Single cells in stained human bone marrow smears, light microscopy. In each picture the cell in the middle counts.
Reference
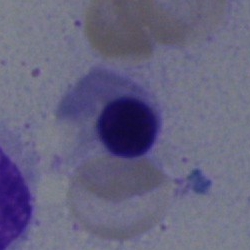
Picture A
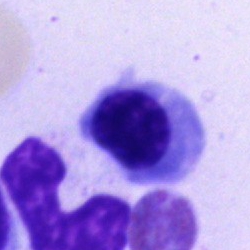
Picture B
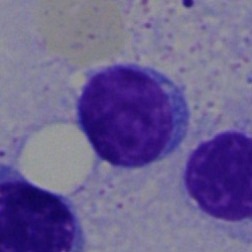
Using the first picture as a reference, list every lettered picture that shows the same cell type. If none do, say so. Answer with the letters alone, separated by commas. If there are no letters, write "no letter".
A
